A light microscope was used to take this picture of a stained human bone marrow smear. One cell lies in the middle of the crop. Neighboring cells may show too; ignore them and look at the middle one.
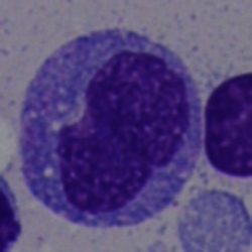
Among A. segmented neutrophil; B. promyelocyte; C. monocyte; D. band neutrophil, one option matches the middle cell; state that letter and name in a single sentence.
Since the middle cell is a monocyte, option C is the right one.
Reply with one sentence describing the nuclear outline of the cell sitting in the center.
Worth pointing out that its nucleus is one compact mass, round, oval or reniform.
